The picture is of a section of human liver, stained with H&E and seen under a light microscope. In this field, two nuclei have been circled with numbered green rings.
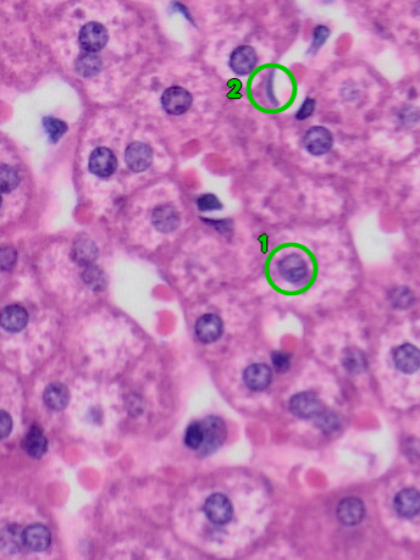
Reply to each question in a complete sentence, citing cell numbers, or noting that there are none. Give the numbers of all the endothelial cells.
Of those with numbers, only cell 2 is an endothelial cell.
